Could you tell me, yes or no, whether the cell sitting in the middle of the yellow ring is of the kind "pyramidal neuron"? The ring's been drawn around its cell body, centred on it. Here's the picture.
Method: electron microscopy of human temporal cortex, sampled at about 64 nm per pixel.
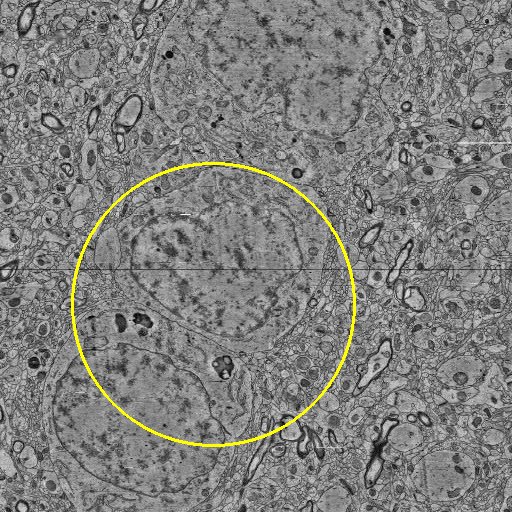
No, it is of another kind.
